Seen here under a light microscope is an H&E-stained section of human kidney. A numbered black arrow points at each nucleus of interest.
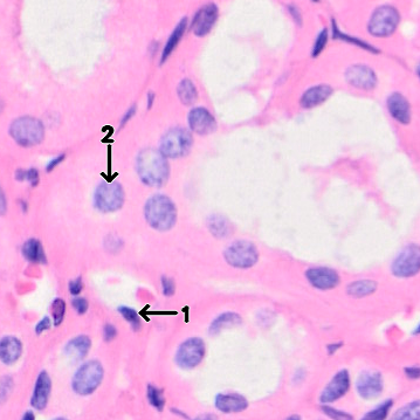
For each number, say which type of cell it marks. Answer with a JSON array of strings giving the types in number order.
["endothelial cell", "loop of Henle or distal tubule cell"]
